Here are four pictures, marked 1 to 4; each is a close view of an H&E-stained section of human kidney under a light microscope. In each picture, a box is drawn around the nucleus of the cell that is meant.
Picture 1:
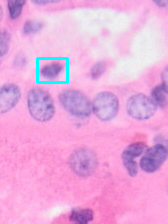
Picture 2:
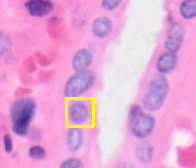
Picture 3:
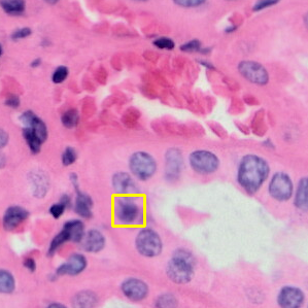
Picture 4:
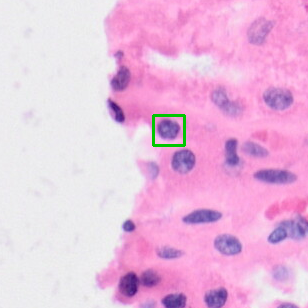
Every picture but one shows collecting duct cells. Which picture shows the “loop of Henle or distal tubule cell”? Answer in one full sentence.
The cell in picture 4 is the “loop of Henle or distal tubule cell”.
